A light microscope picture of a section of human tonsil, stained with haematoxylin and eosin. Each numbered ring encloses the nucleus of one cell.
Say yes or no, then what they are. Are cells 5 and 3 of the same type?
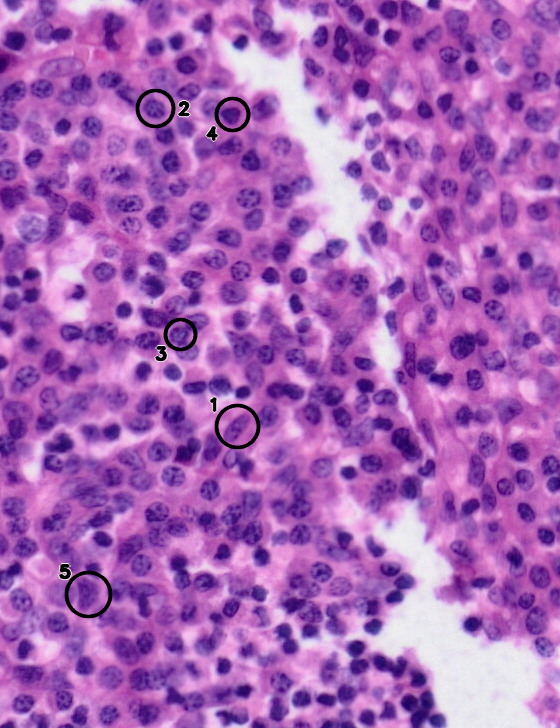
No, cell 5 is a squamous epithelial cell and cell 3 is a plasma cell.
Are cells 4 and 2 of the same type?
Yes, both are plasma cells.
